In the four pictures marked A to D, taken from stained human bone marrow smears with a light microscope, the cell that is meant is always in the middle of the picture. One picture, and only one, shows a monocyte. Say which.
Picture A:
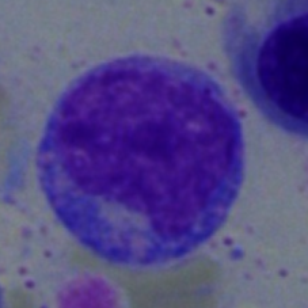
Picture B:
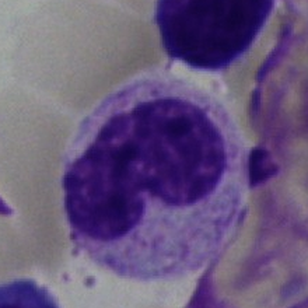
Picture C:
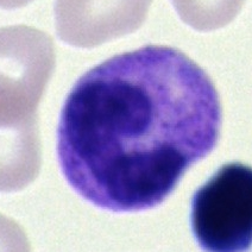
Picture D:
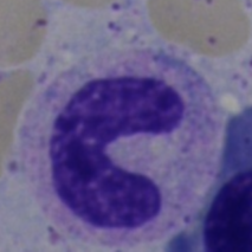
A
